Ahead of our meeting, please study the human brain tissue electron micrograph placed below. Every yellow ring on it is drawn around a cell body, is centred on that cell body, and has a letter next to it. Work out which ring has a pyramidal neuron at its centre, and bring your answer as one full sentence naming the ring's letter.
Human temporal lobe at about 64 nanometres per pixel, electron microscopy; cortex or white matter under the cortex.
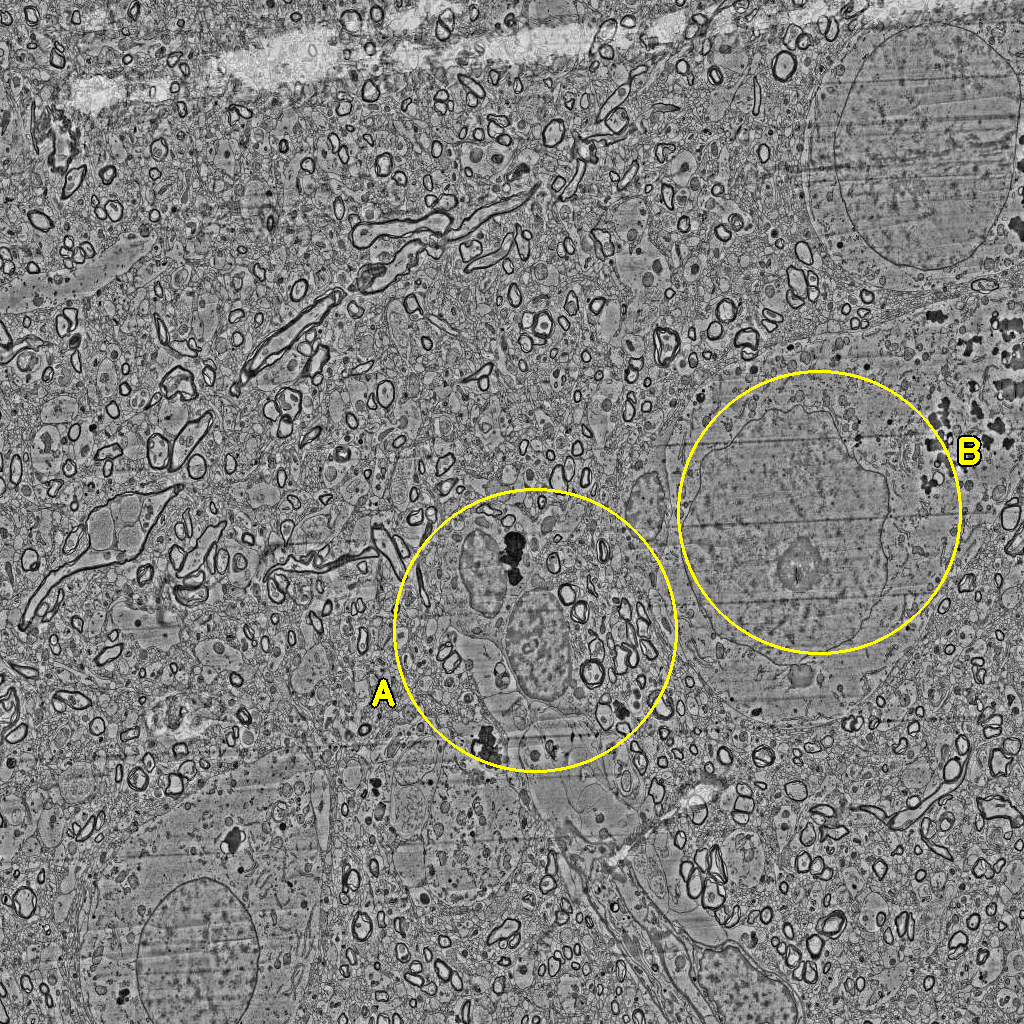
In the micrograph, ring B is the one centred on the cell I was asked to find.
